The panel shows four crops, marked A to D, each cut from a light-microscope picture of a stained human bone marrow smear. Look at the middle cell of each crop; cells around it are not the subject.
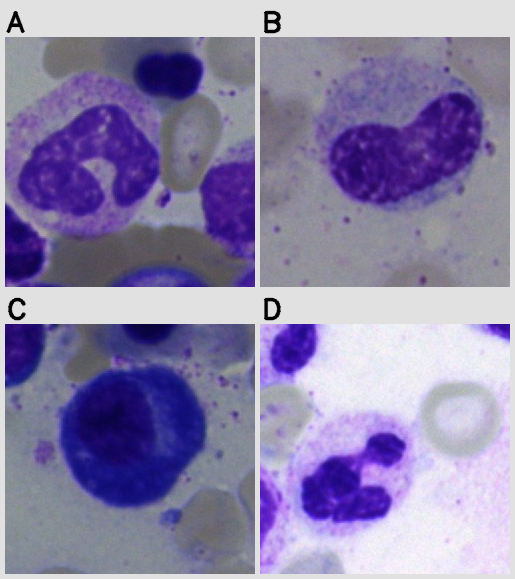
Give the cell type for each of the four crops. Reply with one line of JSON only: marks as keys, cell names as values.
{"A": "band neutrophil", "B": "band neutrophil", "C": "plasma cell", "D": "segmented neutrophil"}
